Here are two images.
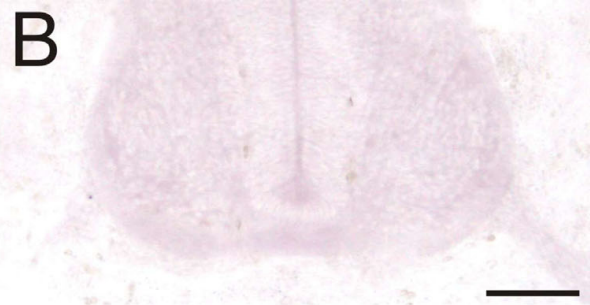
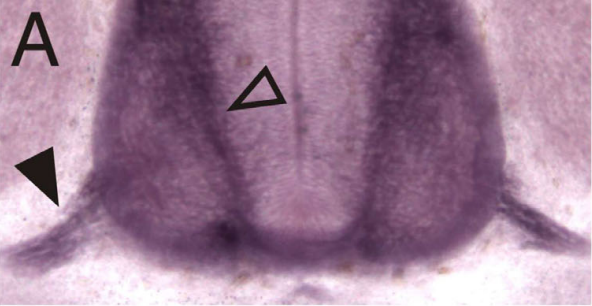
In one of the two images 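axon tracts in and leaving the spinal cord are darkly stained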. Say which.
The second image.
